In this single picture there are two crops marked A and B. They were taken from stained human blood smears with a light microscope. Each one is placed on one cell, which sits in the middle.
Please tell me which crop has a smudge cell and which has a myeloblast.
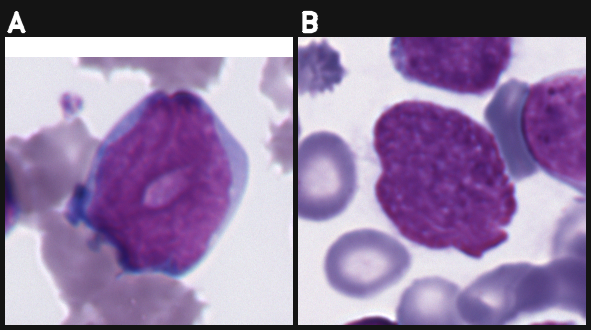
A: myeloblast
B: smudge cell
